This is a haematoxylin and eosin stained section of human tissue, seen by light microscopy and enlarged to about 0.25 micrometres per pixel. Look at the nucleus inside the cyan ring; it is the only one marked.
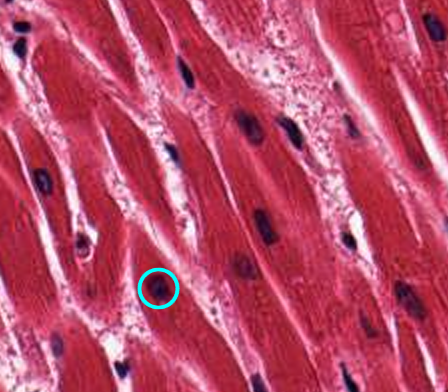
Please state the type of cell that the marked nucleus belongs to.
cardiomyocyte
